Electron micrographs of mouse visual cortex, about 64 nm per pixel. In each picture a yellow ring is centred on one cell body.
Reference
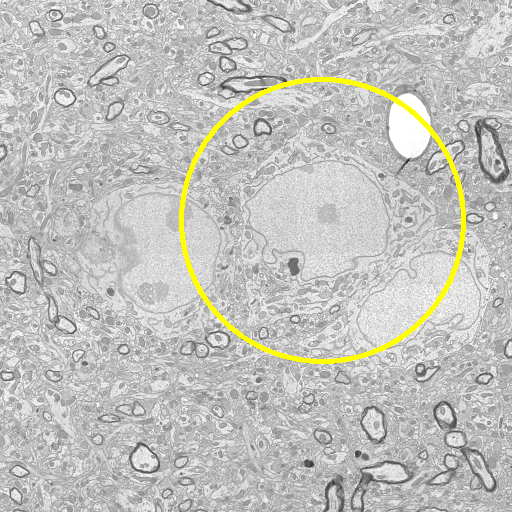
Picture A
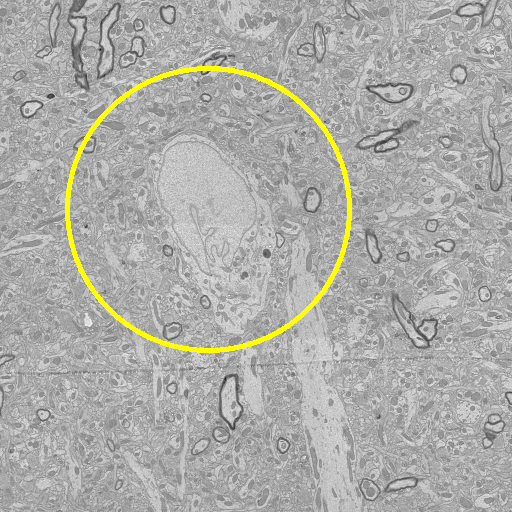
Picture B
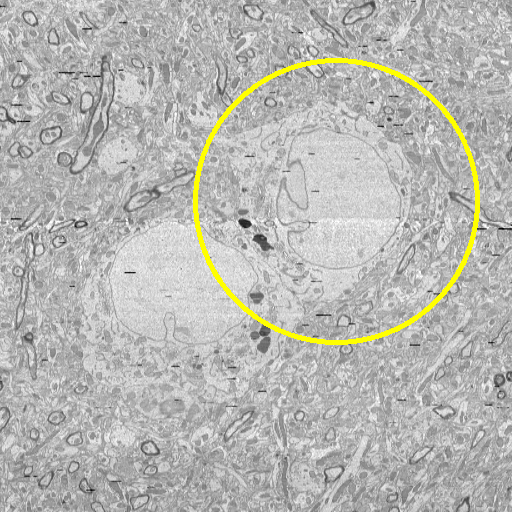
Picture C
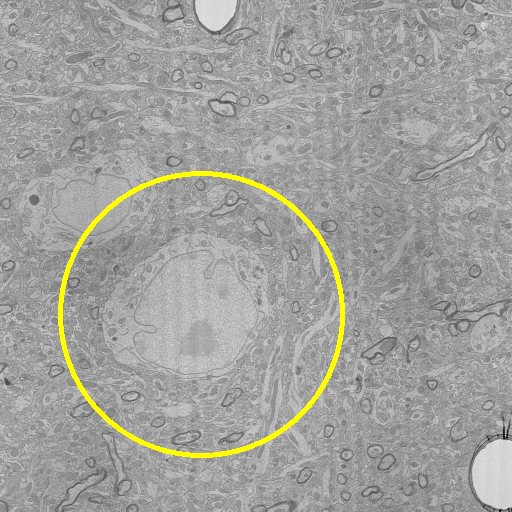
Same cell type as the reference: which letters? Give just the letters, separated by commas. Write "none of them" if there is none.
A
